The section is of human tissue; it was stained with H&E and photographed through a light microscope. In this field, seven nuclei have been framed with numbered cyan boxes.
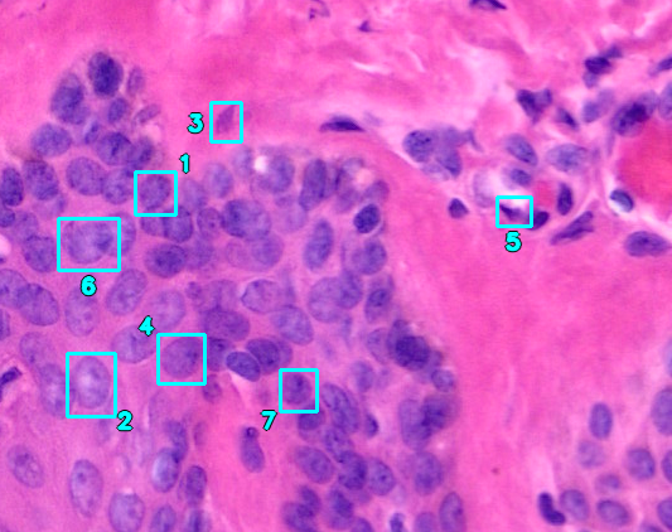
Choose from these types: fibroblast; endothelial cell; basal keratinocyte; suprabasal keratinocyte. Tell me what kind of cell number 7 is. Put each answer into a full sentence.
The correct answer for cell 7 is a basal keratinocyte.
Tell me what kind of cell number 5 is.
The cell indicated by marker 5 is an endothelial cell in this section.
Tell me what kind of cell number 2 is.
The cell marked with number 2 is a suprabasal keratinocyte.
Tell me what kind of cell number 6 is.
In the tissue shown, cell 6 is a suprabasal keratinocyte.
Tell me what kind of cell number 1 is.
The expected answer is that cell 1 is a basal keratinocyte.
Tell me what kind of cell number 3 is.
The cell indicated by marker 3 is a fibroblast in this section.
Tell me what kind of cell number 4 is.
Classified as a basal keratinocyte is the cell with the number 4.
